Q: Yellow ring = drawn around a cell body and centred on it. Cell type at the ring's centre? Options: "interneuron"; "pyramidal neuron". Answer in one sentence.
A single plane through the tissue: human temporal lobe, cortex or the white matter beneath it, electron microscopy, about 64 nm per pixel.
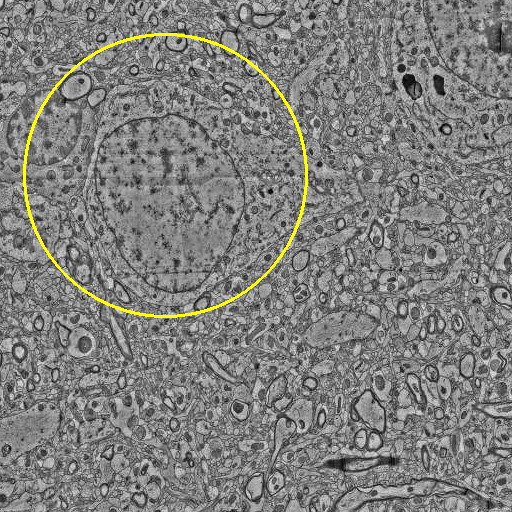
Centred in the ring is a pyramidal neuron.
